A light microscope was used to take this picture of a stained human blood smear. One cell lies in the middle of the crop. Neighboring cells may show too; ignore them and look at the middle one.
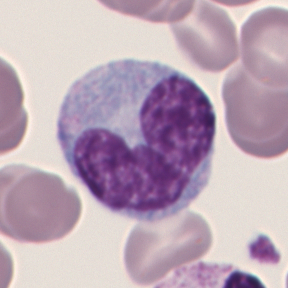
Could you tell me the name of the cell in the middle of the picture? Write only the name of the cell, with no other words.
monocyte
